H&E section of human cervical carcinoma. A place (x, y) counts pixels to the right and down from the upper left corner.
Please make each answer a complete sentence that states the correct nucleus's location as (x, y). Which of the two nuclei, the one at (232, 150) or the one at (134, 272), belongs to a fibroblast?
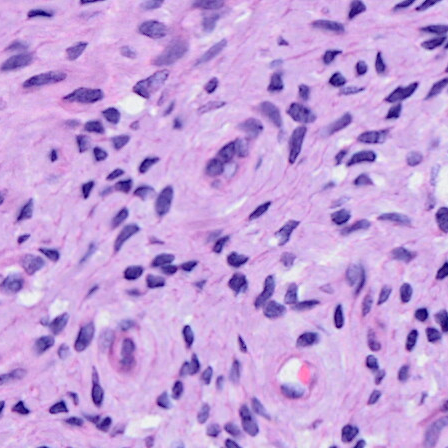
The nucleus at (134, 272) belongs to a fibroblast, which distinguishes it from the other nucleus.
